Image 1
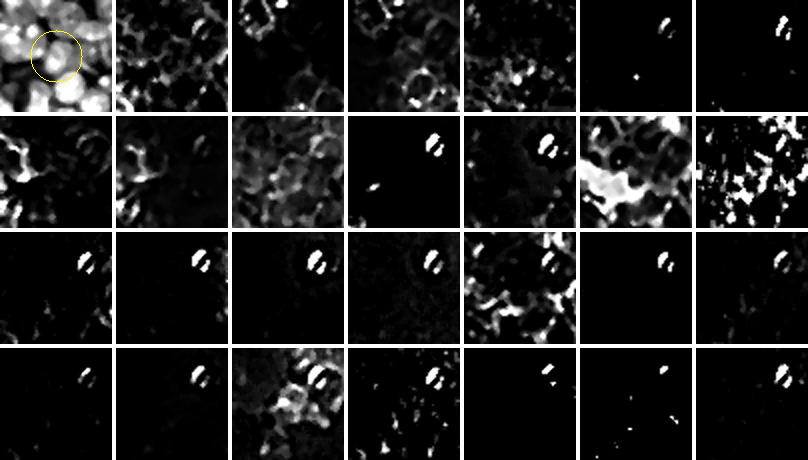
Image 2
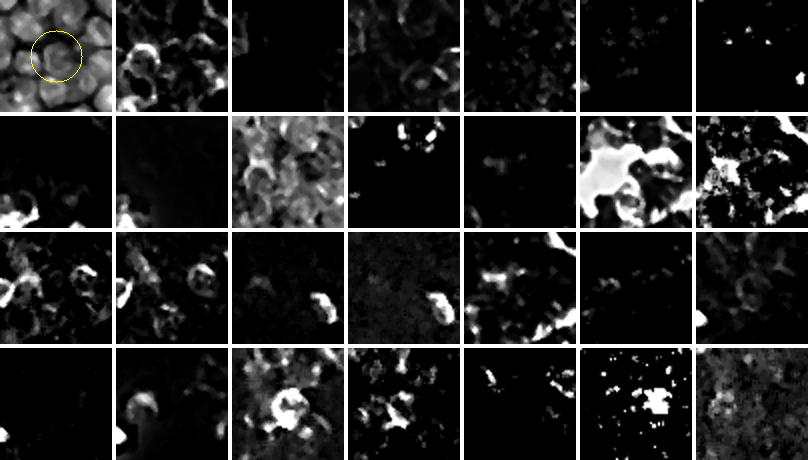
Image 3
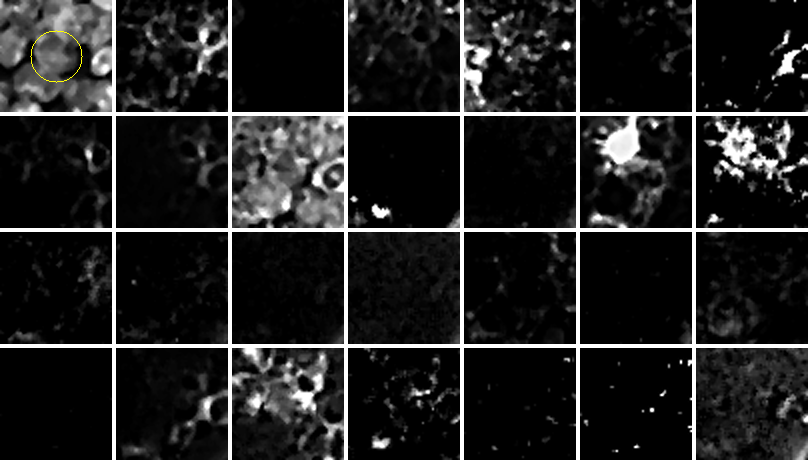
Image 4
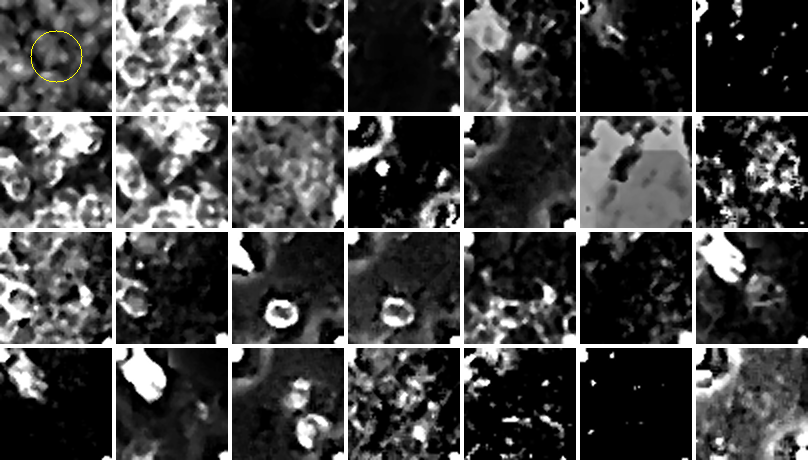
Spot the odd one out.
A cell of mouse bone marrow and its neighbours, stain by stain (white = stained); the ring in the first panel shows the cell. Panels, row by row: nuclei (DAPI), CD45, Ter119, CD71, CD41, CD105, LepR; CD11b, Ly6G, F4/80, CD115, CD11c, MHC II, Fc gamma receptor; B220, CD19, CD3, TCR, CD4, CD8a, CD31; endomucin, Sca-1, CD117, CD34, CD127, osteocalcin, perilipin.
Picture 4 (a megakaryocyte progenitor among granulocyte-monocyte progenitors).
